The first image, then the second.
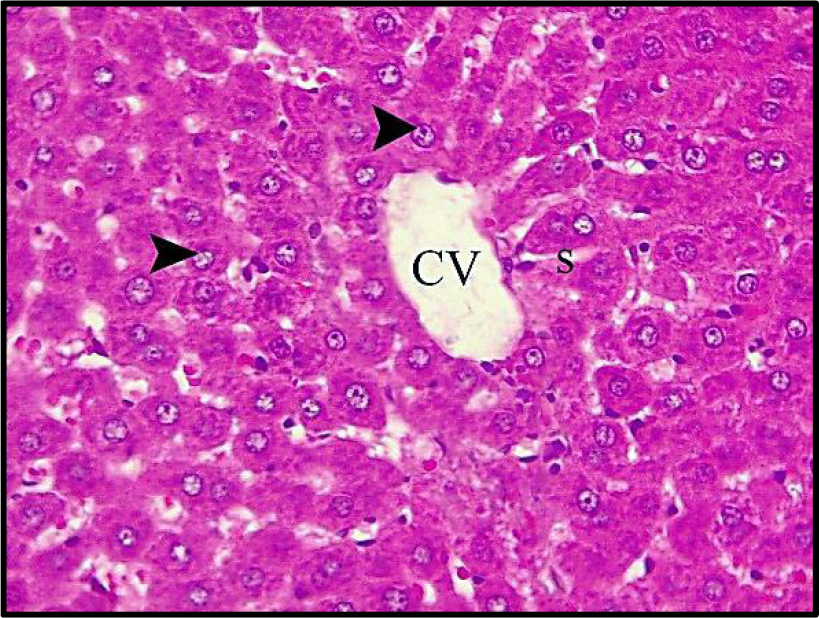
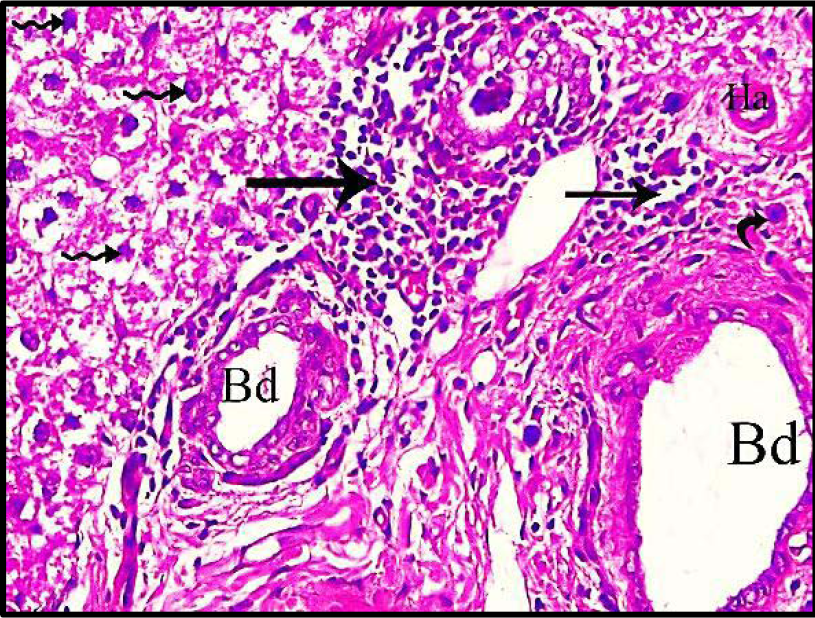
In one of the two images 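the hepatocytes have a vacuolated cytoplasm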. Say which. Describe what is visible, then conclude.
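The second image. Second image: the hepatocytes look pale and foamy, with many clear spaces in their cytoplasm.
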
